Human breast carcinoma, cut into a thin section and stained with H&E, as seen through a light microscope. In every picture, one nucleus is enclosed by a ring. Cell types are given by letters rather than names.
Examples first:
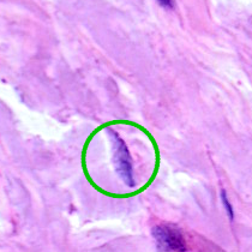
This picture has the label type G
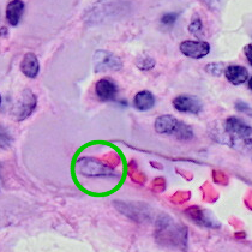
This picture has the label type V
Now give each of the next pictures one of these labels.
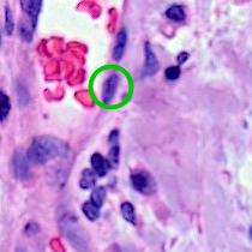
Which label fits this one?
type V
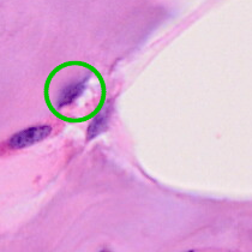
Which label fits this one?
type G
